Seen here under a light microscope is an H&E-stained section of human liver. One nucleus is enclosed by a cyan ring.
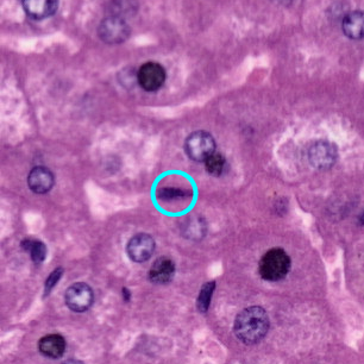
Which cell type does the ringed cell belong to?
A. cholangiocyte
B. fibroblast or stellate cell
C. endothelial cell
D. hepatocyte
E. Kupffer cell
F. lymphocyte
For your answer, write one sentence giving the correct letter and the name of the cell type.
Option B gets it right, as the ringed cell is a fibroblast or stellate cell.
